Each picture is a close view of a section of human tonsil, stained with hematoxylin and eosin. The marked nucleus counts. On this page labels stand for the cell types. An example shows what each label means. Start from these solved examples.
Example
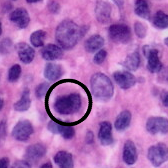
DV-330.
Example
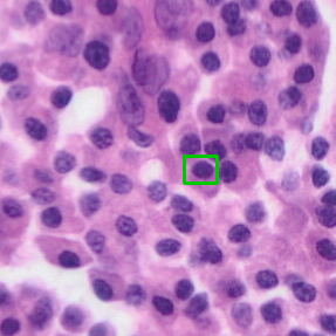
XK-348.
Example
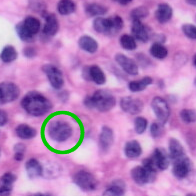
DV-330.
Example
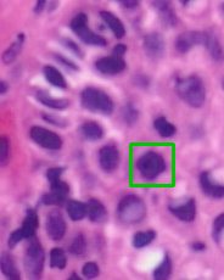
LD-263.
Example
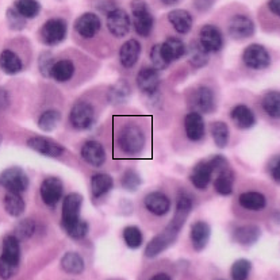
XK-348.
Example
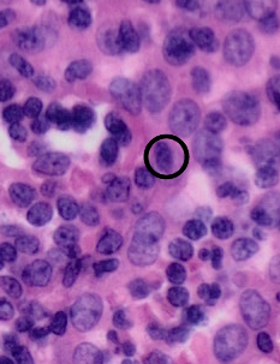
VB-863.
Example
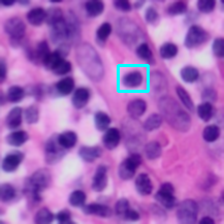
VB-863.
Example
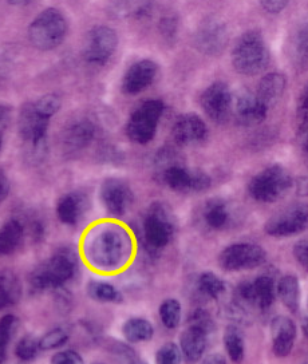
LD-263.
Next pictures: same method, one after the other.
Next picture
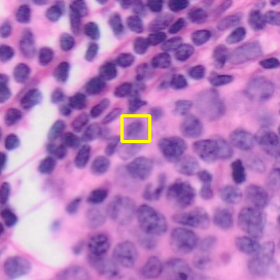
DV-330.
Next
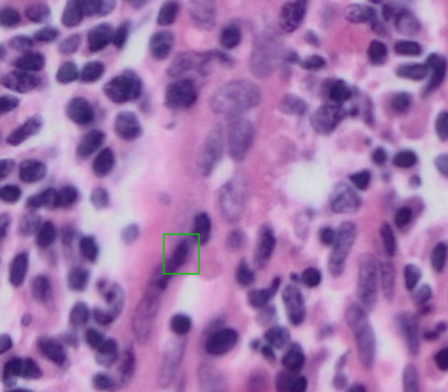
VB-863.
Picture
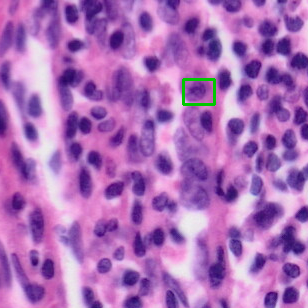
VB-863.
